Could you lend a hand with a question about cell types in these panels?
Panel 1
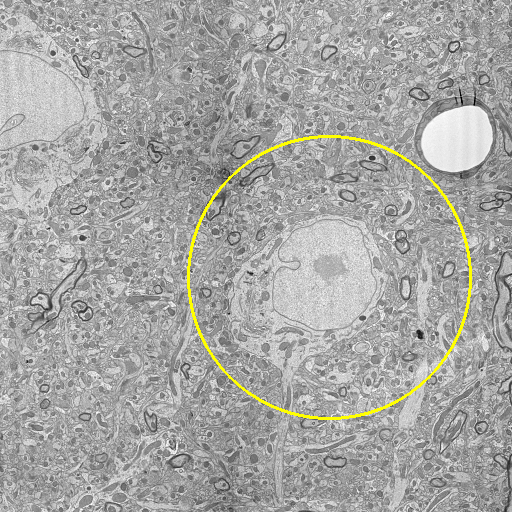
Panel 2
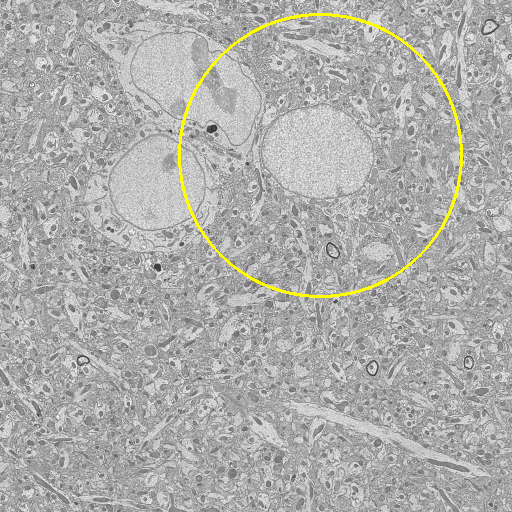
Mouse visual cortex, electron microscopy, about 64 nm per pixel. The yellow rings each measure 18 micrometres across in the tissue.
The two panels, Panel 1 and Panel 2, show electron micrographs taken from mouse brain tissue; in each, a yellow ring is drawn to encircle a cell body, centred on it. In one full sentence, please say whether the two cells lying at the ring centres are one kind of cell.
No, the cells at the ring centres in the two panels are two kinds of cell.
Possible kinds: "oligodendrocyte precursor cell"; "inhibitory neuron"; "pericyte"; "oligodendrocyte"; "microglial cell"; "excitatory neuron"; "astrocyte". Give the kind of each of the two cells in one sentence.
The cell in the second picture is an astrocyte, and that in the first is an excitatory neuron.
